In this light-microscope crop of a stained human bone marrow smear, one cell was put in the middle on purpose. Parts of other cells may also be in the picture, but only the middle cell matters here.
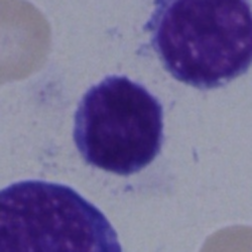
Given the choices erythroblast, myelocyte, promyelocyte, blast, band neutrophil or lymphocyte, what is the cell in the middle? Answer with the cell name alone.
lymphocyte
